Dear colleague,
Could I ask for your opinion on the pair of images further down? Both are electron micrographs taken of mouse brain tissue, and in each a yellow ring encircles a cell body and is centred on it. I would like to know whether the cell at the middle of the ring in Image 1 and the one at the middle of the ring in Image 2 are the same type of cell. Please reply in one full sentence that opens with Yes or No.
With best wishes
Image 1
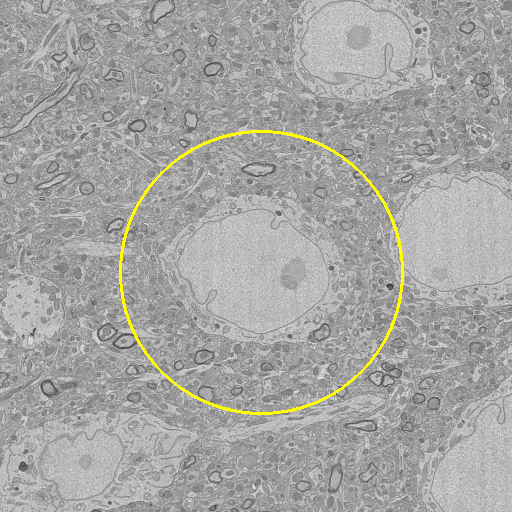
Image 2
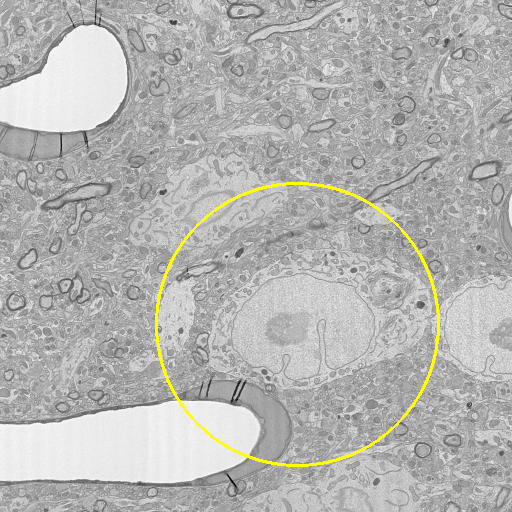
No, the cells at the ring centres in Image 1 and Image 2 are of two types.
